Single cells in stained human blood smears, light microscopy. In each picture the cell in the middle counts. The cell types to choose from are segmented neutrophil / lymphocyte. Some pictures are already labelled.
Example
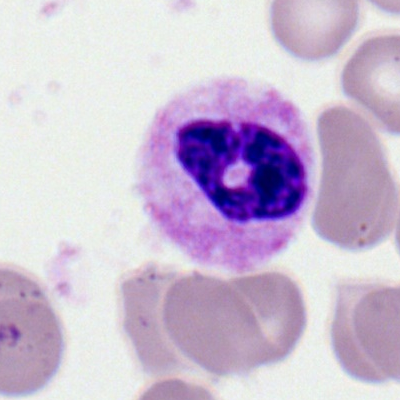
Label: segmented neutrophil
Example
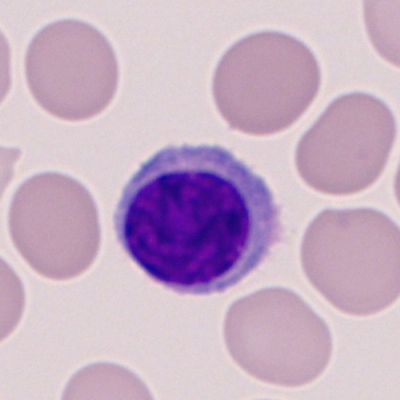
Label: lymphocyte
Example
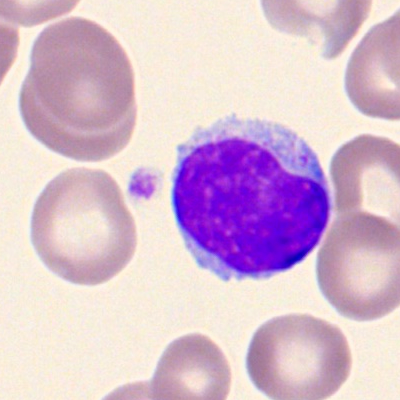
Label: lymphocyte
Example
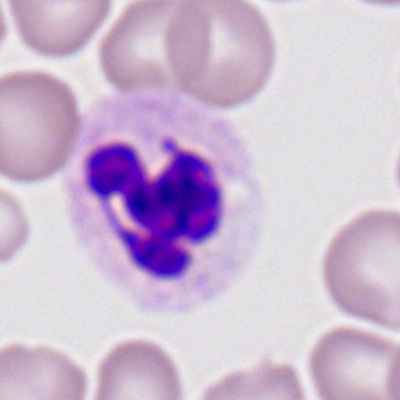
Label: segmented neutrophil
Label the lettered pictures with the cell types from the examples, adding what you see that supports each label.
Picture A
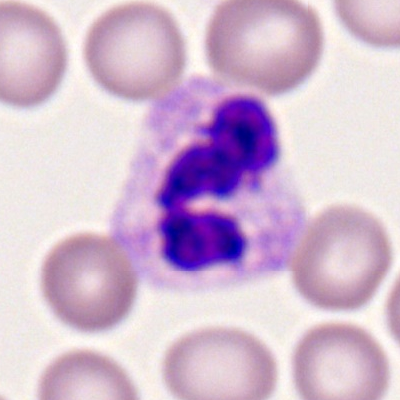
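segmented neutrophil. Evidence: The cytoplasm is abundant and pale pinkish-lilac.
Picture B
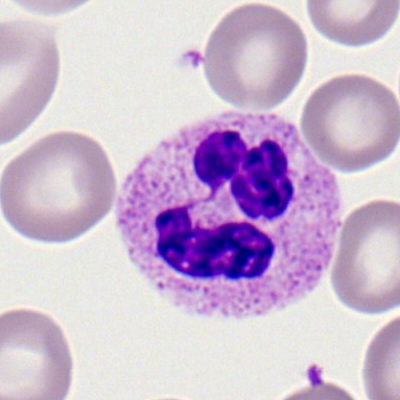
segmented neutrophil. Evidence: The cytoplasm is abundant and pale pink-lilac.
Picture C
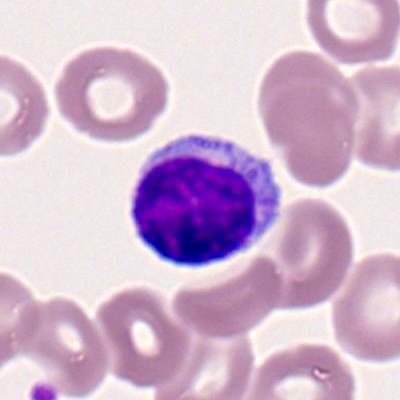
lymphocyte. Evidence: The nucleus fills most of the cell.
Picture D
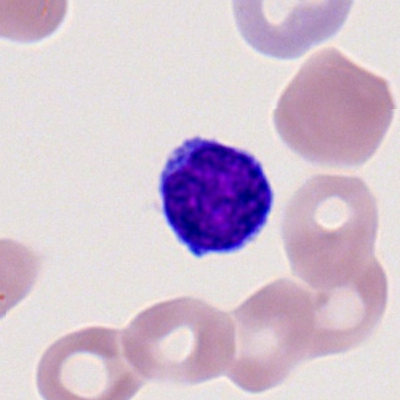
lymphocyte. Evidence: The nucleus fills almost the whole cell, leaving at most a very thin rim of cytoplasm.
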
